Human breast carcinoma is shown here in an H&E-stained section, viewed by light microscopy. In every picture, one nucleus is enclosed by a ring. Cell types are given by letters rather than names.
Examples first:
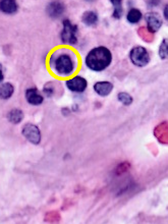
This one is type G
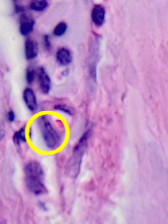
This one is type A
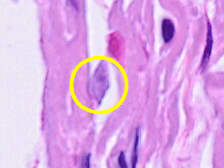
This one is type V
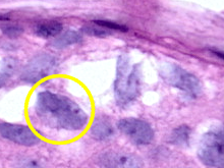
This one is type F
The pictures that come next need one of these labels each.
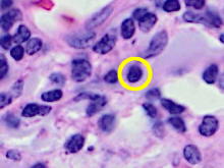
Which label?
type G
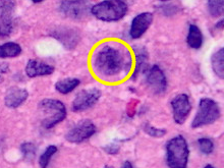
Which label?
type F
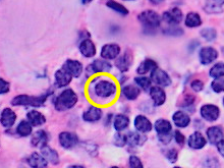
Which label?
type G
